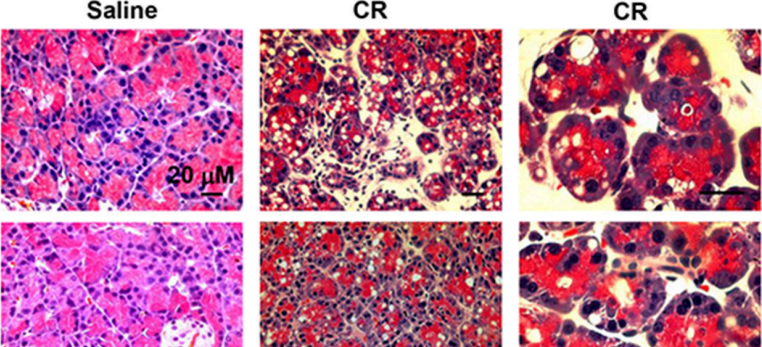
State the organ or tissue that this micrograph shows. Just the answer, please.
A: Pancreatic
